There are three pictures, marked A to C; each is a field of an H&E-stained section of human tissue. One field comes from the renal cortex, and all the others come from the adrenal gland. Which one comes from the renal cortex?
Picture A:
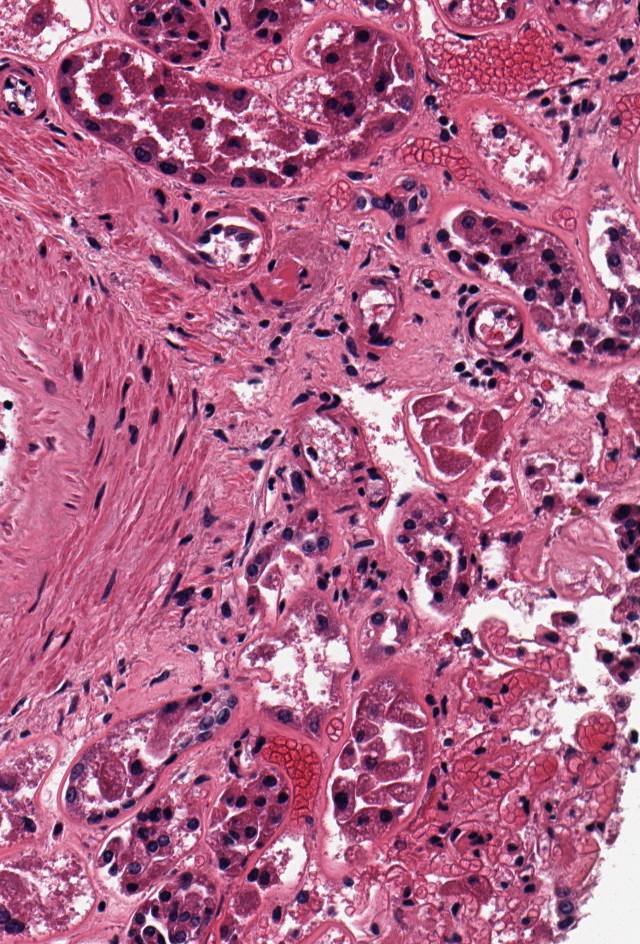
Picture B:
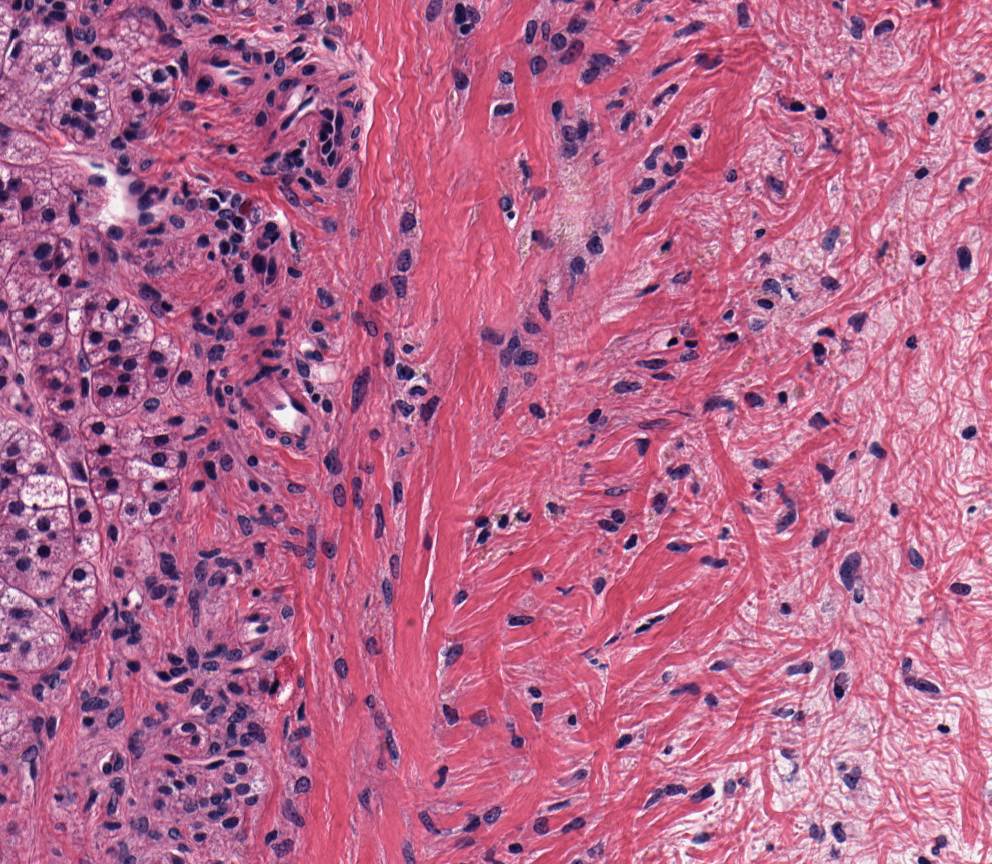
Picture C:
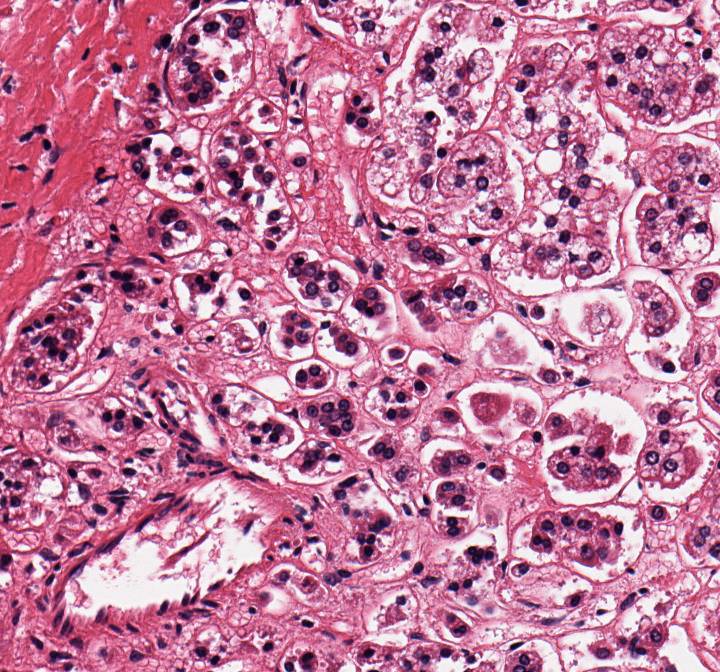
A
